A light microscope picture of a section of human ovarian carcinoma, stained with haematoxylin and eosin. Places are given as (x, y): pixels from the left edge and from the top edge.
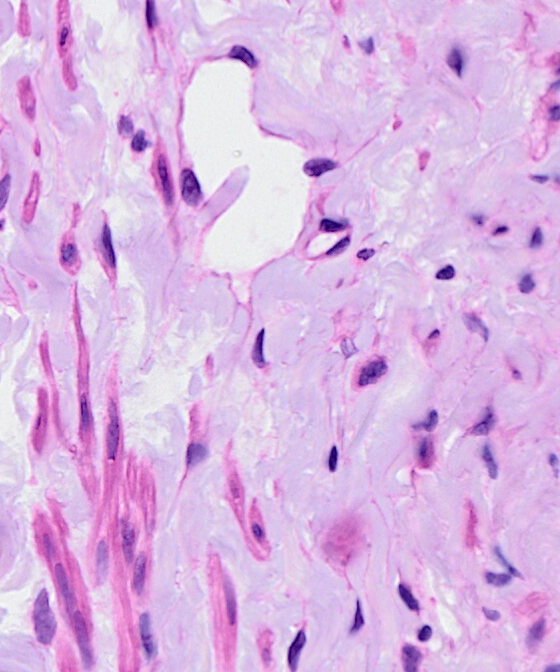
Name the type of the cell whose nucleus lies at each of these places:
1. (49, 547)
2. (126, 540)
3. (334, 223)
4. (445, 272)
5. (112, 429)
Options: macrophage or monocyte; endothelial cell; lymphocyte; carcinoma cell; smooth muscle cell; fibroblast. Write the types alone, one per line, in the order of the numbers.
smooth muscle cell
smooth muscle cell
endothelial cell
lymphocyte
smooth muscle cell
